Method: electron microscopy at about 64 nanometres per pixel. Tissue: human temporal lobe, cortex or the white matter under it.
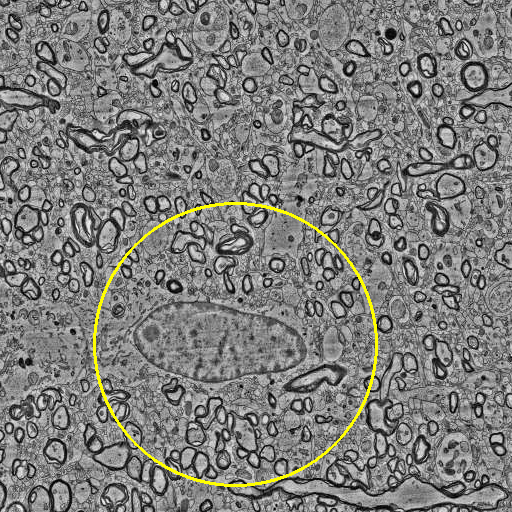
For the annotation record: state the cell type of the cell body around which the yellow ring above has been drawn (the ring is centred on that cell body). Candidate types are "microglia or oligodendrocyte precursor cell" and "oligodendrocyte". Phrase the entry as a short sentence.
The ringed cell is a microglial cell or oligodendrocyte precursor cell.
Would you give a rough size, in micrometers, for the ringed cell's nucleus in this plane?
About 11 by 5 micrometers in this plane, so the nucleus is clearly longer than it is wide.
